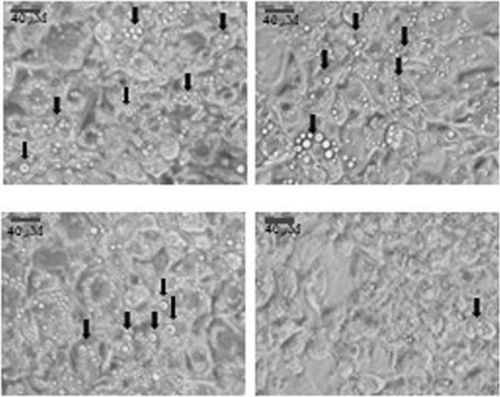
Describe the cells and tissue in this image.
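Many cells hold clusters of small, round, bright, refractile spheres within their cytoplasm, some spheres larger than others, and arrows point to these groups. Cell borders are faint and the cells crowd together without clear gaps. In three of the fields such spheres are common, while in the lower right field they are scarce, with only one group marked and the cells looking flatter and more uniform.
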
